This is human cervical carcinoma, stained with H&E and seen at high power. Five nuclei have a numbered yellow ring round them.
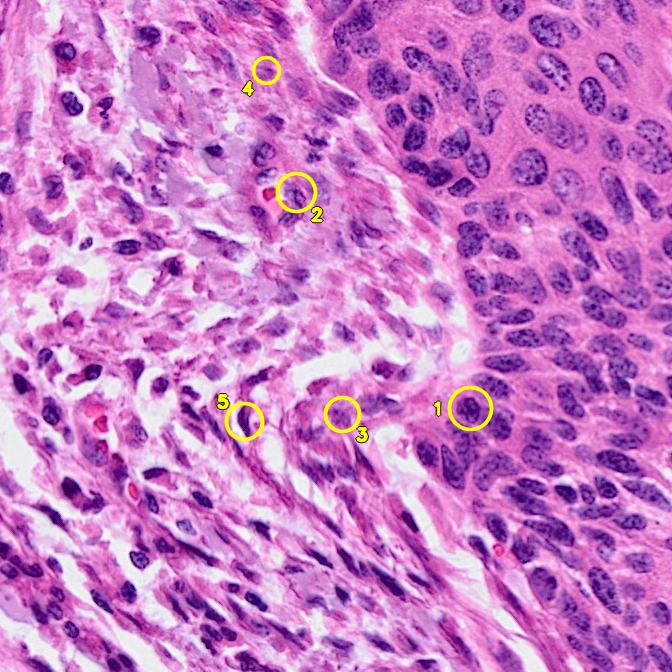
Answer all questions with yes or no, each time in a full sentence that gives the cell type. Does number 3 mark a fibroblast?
Yes, the one numbered 3 is a fibroblast.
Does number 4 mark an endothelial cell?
No, the cell marked 4 is a fibroblast rather than an endothelial cell.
